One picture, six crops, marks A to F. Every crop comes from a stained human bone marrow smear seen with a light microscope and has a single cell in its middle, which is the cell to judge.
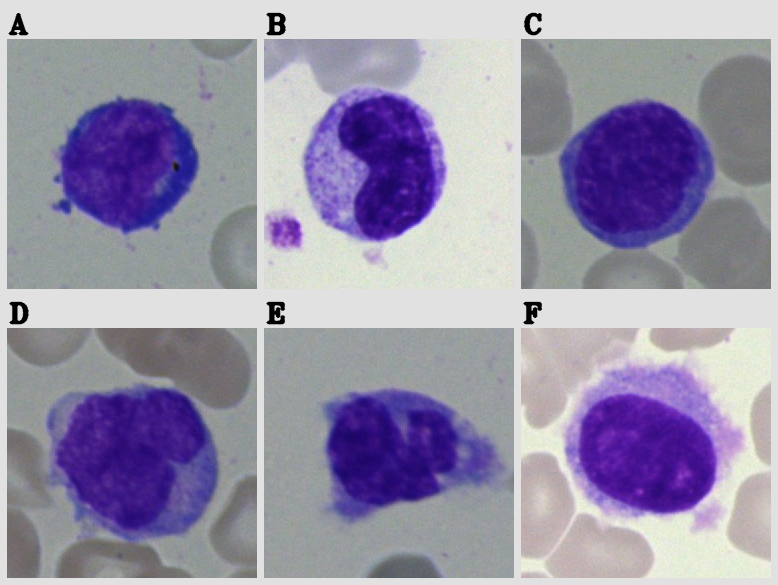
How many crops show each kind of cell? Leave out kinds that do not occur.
blast: 2
monocyte: 2
metamyelocyte: 1
hairy cell: 1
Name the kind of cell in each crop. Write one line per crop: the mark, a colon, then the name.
A: blast
B: metamyelocyte
C: blast
D: monocyte
E: monocyte
F: hairy cell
